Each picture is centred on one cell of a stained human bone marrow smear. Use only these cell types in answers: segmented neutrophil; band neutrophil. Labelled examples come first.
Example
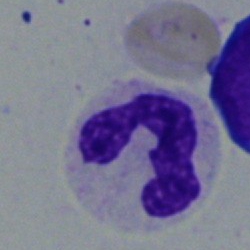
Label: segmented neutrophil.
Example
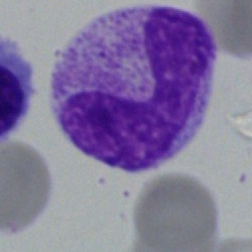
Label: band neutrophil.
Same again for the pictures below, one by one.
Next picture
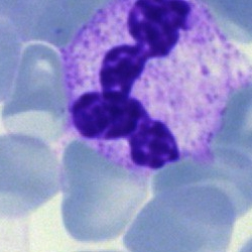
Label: segmented neutrophil.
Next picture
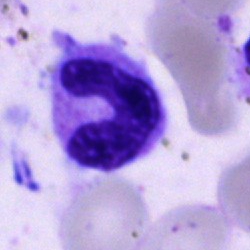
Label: band neutrophil.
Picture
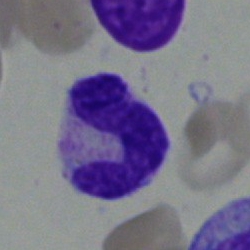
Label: band neutrophil.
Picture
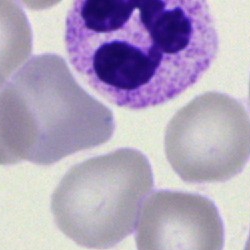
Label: segmented neutrophil.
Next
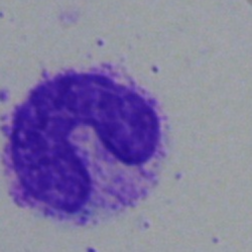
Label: band neutrophil.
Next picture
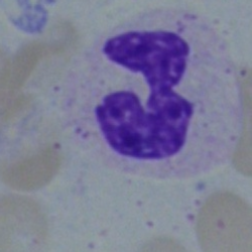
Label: segmented neutrophil.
